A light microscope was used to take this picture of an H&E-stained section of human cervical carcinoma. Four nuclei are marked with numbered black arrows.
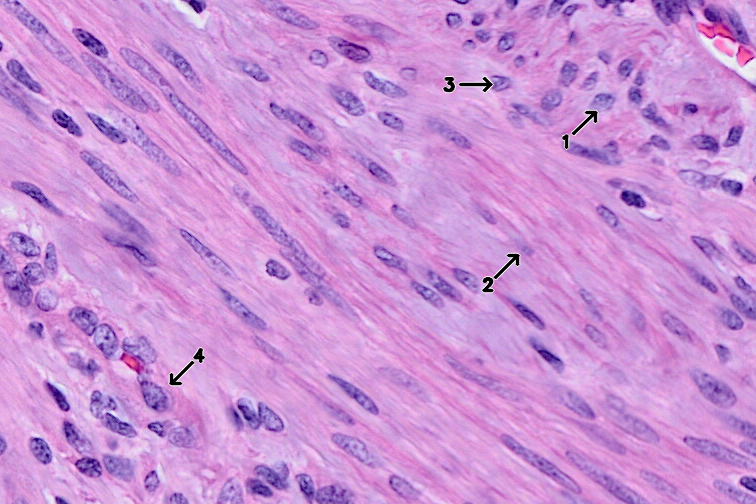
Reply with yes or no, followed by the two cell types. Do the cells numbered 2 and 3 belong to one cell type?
Yes, the cells marked 2 and 3 are both smooth muscle cells.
